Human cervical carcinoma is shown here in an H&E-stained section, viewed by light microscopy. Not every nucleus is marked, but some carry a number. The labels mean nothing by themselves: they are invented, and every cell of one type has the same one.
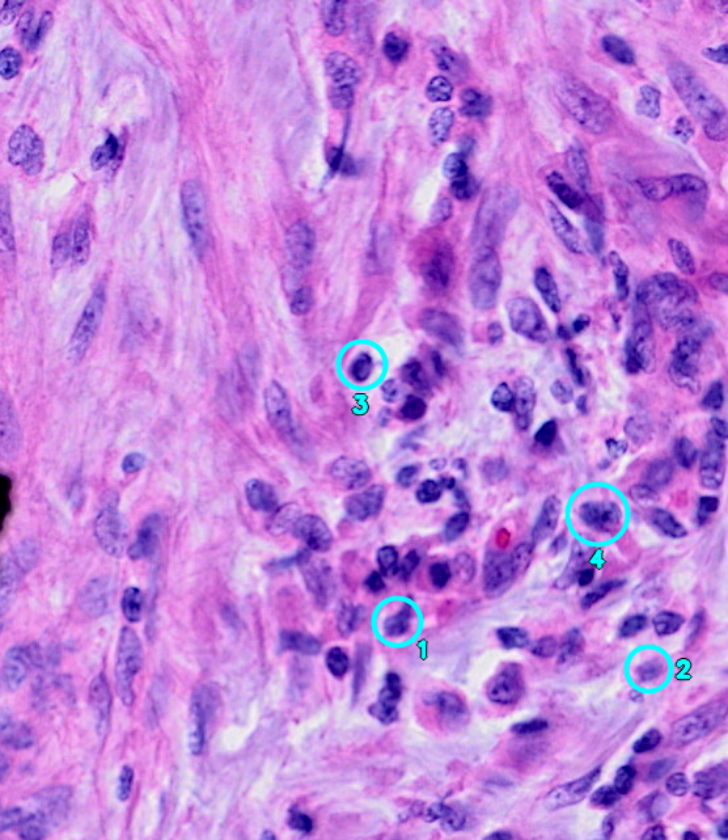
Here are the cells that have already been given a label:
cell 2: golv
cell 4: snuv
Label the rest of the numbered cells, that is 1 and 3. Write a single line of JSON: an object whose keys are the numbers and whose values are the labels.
{"1": "snuv", "3": "snuv"}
